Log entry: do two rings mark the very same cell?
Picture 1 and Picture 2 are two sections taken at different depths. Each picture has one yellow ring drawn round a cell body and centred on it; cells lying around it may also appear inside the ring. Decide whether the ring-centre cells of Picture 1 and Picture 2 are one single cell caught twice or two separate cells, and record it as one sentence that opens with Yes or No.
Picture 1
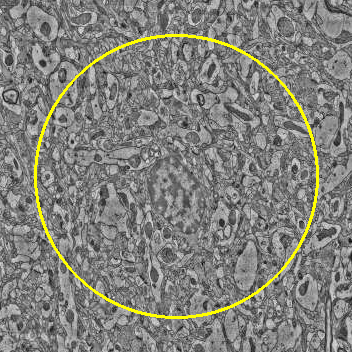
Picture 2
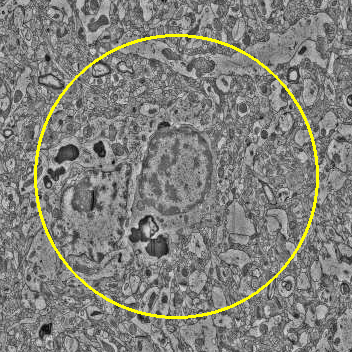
No, the two rings were placed on two different cells.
